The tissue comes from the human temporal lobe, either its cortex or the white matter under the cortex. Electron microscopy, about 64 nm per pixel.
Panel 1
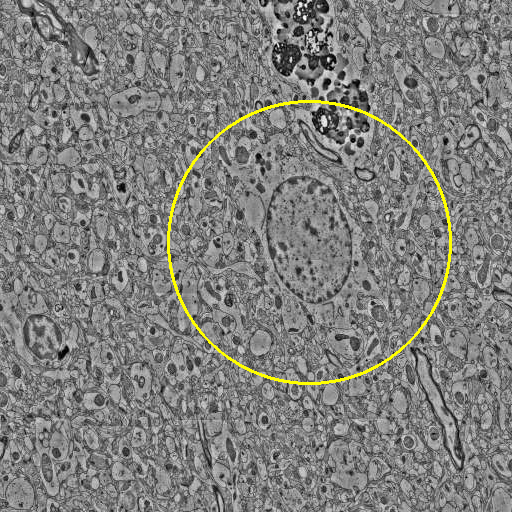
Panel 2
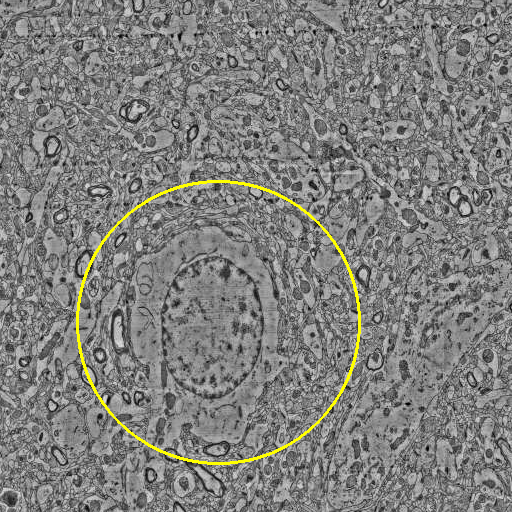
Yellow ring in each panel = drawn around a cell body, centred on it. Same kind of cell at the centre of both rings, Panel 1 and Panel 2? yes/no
yes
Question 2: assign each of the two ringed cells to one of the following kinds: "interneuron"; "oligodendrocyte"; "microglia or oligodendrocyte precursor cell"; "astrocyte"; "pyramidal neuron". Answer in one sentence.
Both the first and the second picture show an astrocyte in the ring.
